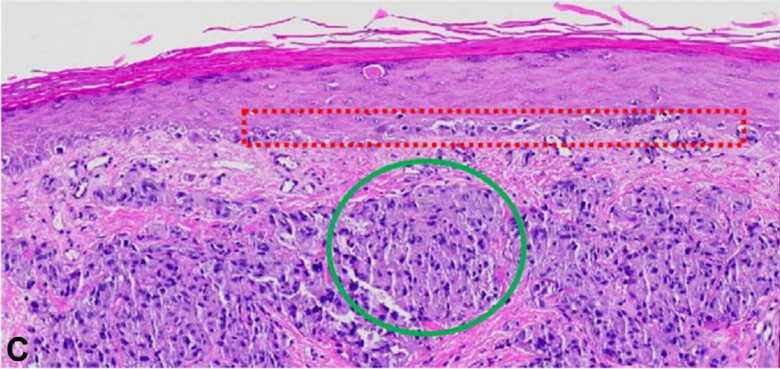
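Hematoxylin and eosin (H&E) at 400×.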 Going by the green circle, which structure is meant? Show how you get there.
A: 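Dermal nests. A rounded cluster of closely packed cells lies below the epidermis. The cluster is bordered by bands of pink fibrous stroma. The cells have oval purple nuclei and pale pink cytoplasm.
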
